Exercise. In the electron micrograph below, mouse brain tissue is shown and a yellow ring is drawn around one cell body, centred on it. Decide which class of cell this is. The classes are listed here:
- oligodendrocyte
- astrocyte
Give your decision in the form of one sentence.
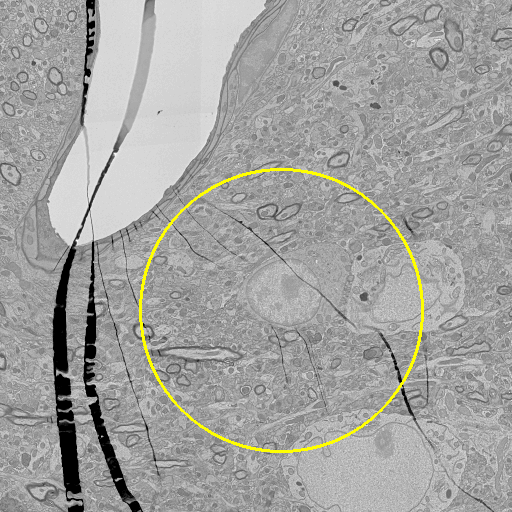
The cell body marked by the ring belongs to an oligodendrocyte.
